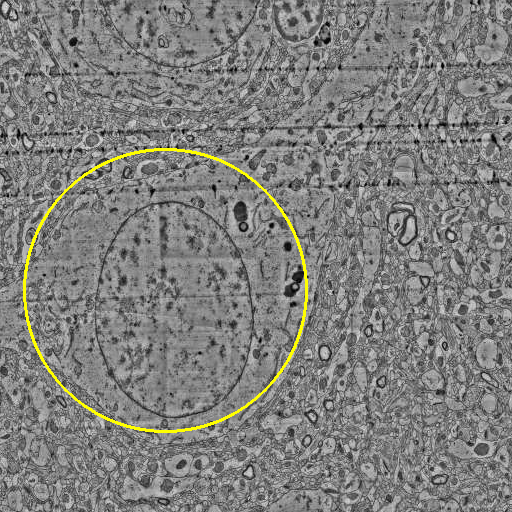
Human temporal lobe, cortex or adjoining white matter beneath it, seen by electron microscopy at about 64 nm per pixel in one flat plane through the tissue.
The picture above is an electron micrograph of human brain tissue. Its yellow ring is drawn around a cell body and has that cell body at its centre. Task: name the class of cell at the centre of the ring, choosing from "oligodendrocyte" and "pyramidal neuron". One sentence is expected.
The ring surrounds the body of a pyramidal neuron.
